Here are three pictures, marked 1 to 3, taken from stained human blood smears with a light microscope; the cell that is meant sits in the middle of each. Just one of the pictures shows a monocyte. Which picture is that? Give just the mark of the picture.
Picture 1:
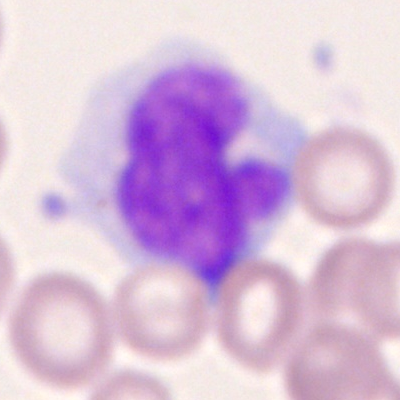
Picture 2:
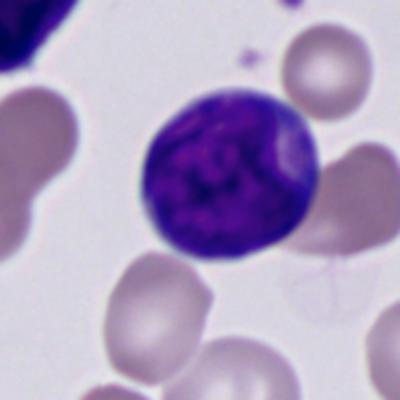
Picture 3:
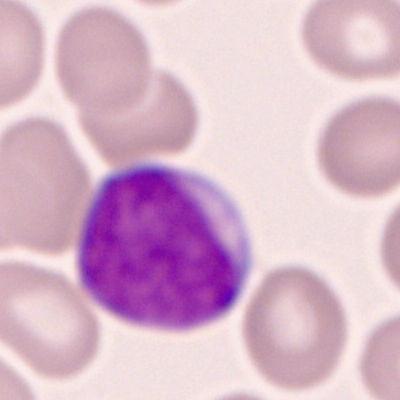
1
